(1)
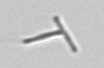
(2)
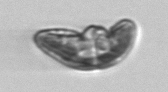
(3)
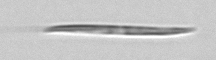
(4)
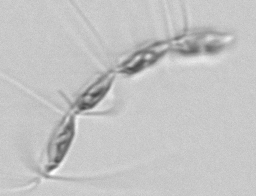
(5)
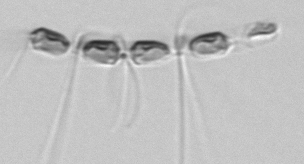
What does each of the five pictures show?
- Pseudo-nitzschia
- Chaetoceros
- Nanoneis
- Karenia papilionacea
1: Nanoneis
2: Karenia papilionacea
3: Pseudo-nitzschia
4: Chaetoceros
5: Chaetoceros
